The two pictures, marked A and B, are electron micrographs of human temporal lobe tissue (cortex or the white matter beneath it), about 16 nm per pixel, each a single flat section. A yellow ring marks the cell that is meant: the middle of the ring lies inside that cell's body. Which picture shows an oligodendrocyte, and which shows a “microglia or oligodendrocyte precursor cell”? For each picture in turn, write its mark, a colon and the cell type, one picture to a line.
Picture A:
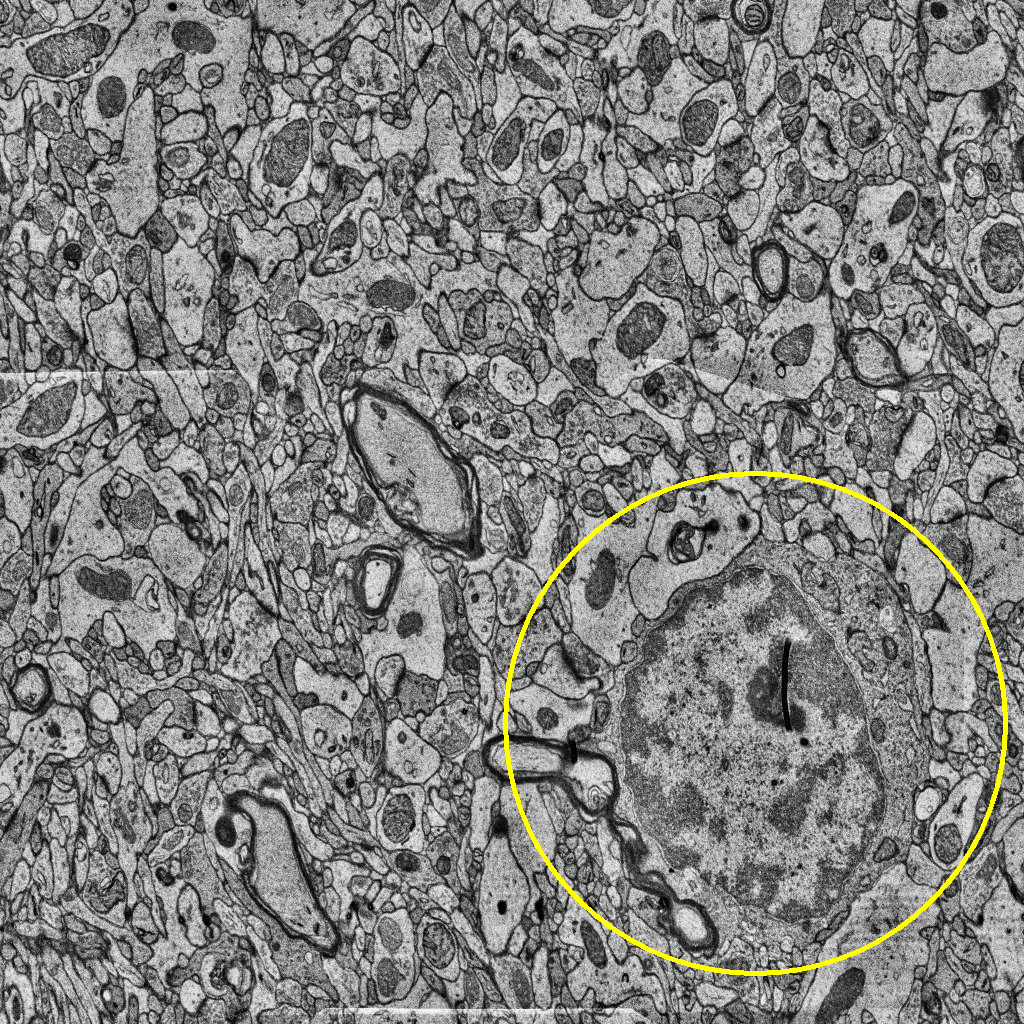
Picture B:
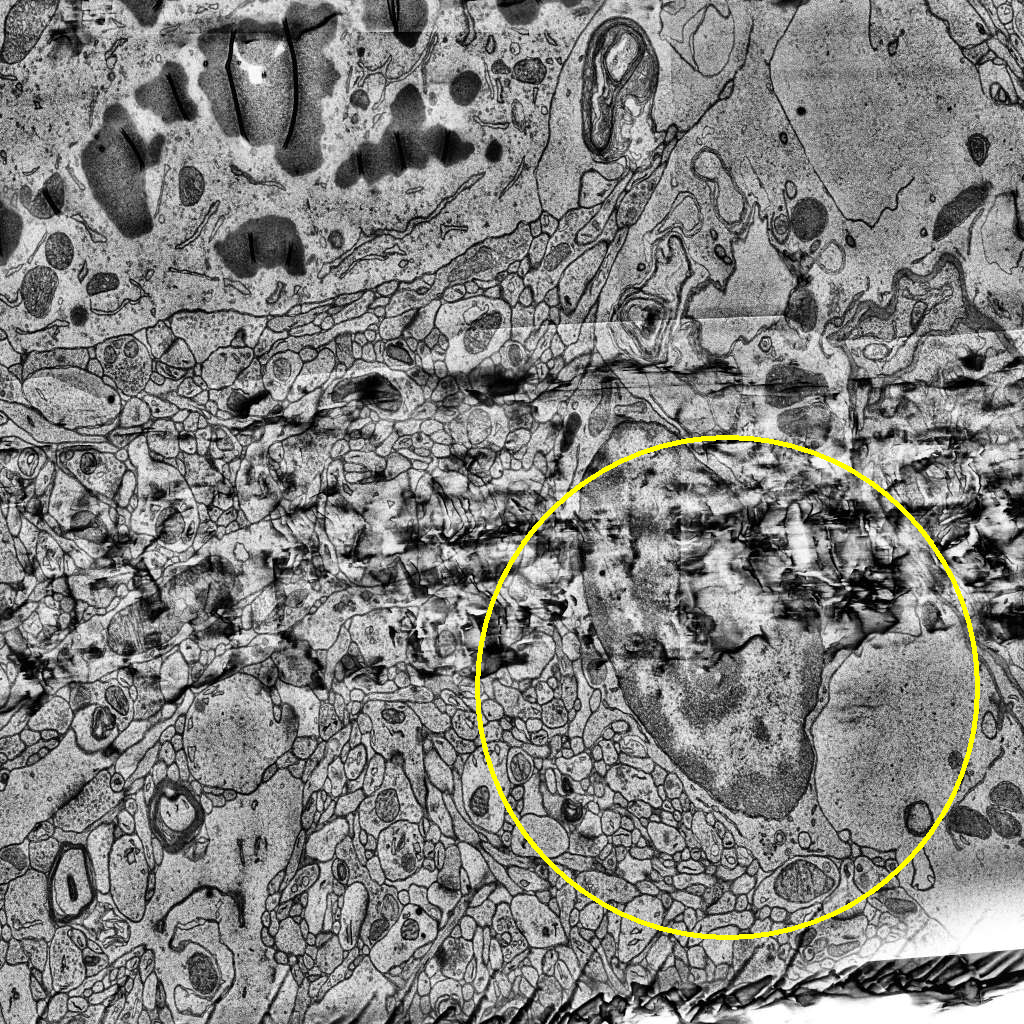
A: oligodendrocyte
B: microglia or oligodendrocyte precursor cell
